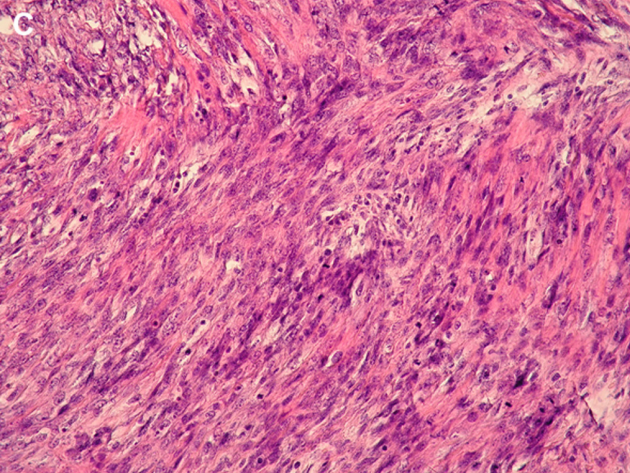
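Sheets and crossing bundles of tightly packed oval and spindle-shaped cells fill the field, with dark, enlarged nuclei that differ widely in size and shape and strands of pink cytoplasm between them. Small pink areas lie between the cells. This is a highly cellular anaplastic spindle cell tumor.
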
